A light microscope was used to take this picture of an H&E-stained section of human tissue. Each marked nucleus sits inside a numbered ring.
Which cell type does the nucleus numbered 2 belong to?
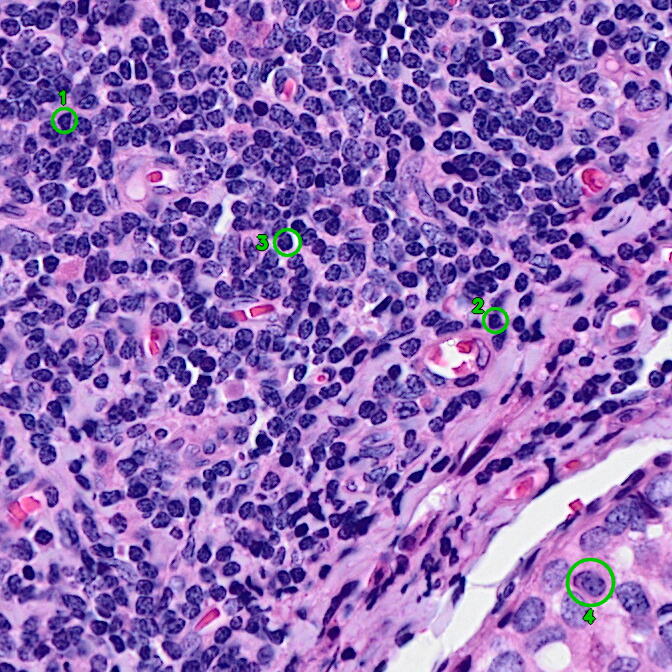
lymphocyte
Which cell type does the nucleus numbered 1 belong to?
lymphocyte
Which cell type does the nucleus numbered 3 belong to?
lymphocyte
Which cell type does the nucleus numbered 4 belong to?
carcinoma cell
